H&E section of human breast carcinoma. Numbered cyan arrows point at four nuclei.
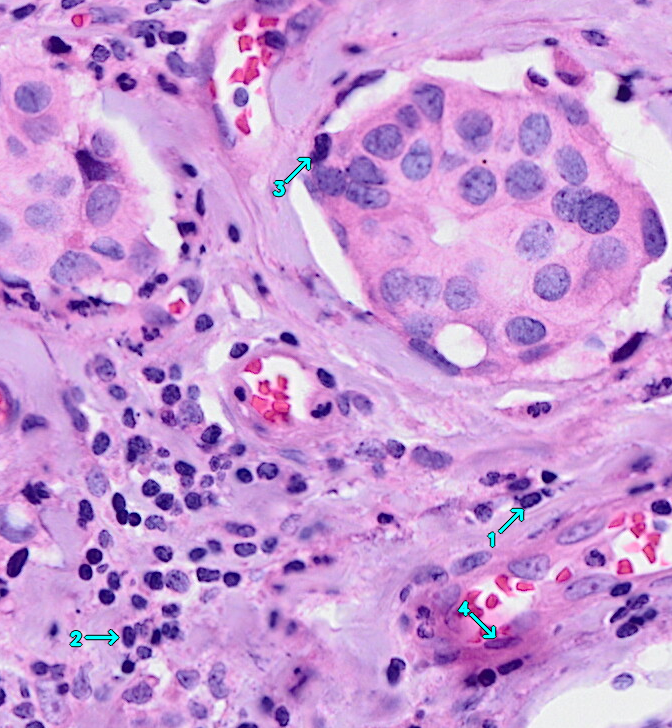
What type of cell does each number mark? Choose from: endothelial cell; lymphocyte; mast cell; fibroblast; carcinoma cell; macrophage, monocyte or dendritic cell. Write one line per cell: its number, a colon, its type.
1: lymphocyte
2: lymphocyte
3: carcinoma cell
4: endothelial cell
